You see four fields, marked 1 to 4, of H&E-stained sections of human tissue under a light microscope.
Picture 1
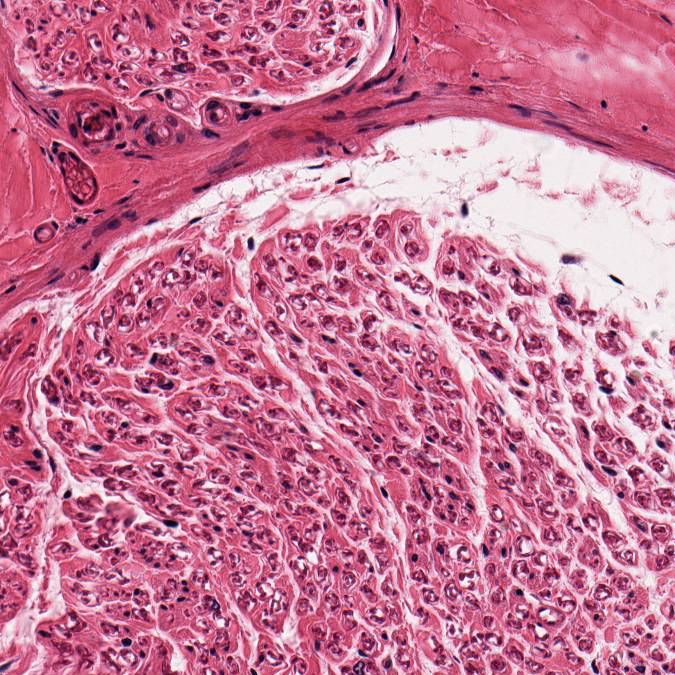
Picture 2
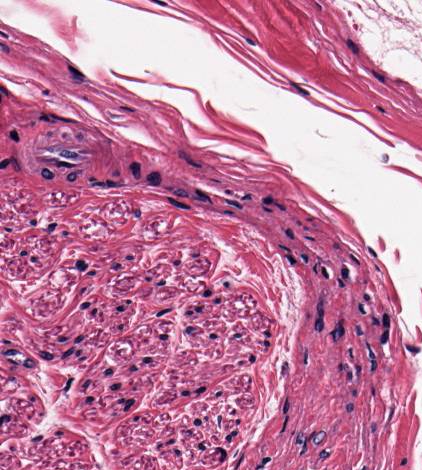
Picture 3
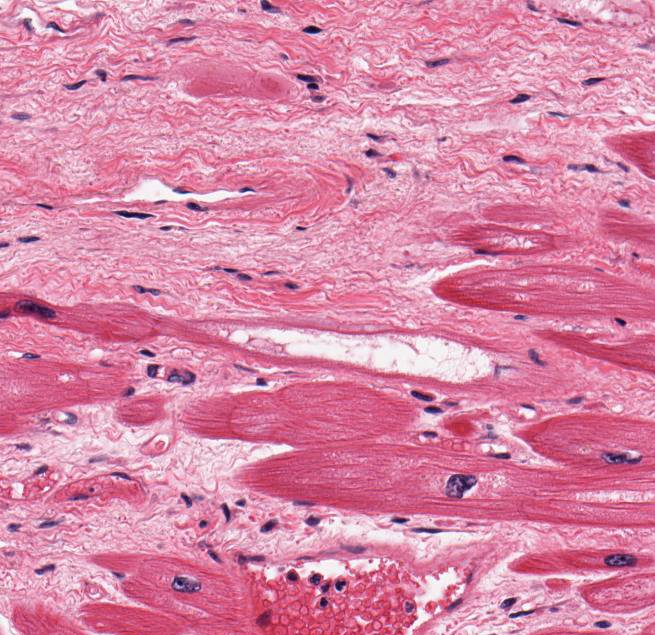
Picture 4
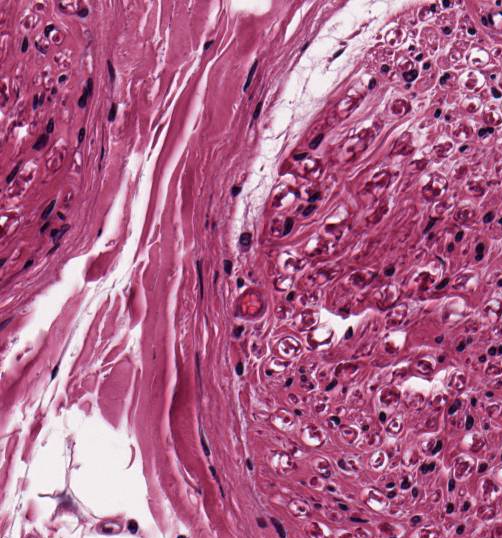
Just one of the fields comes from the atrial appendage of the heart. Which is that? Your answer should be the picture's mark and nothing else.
3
